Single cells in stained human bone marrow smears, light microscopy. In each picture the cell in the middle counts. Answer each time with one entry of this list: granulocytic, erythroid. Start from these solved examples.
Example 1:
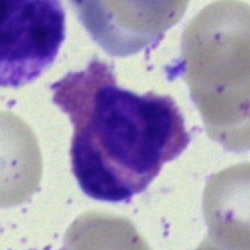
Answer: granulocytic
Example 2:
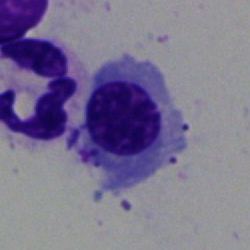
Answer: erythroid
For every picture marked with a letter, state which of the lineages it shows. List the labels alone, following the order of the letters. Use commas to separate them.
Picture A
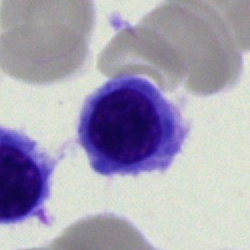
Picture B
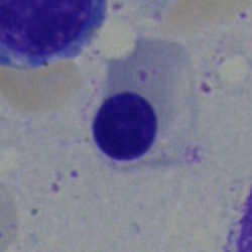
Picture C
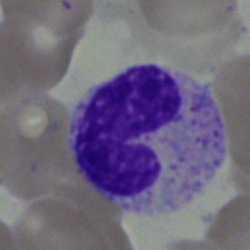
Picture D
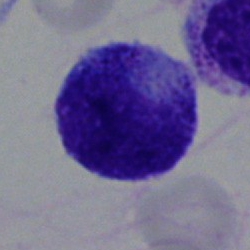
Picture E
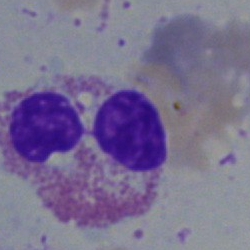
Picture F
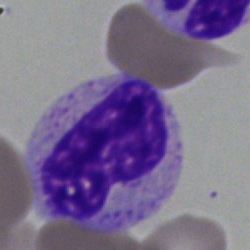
erythroid, erythroid, granulocytic, granulocytic, granulocytic, granulocytic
